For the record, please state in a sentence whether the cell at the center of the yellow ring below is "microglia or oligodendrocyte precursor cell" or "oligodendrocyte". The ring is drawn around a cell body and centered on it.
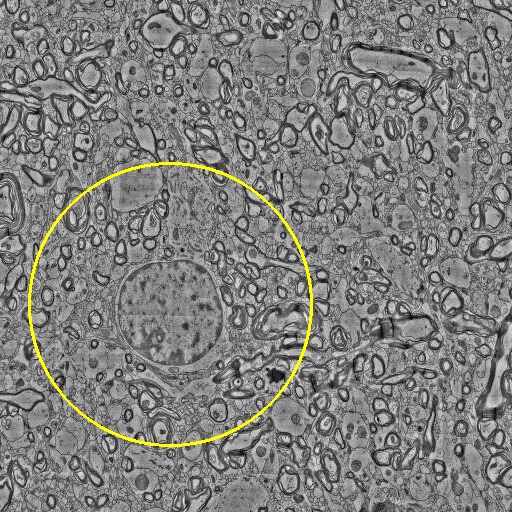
The cell at the ring's center is a microglial cell or oligodendrocyte precursor cell.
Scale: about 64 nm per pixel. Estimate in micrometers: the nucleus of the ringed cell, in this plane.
The nucleus of the ringed cell is approximately 7 micrometres across in this plane.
